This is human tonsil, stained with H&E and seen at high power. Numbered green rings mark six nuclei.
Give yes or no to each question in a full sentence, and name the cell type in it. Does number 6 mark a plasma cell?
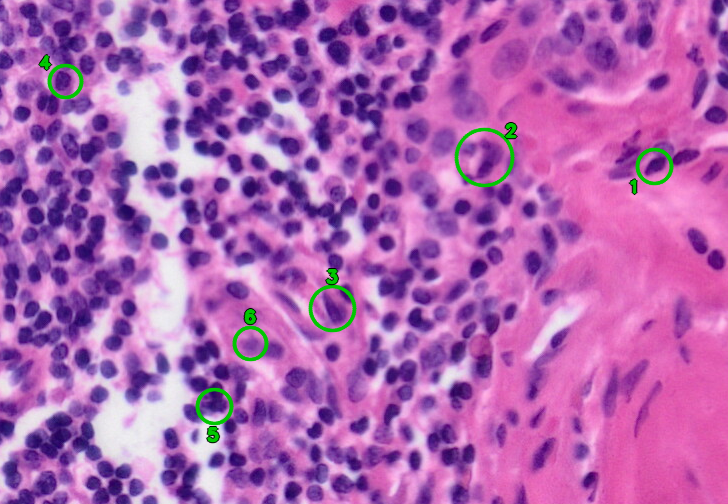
No, number 6 is assigned to an endothelial cell, not to a plasma cell.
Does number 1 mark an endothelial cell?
No, it's not an endothelial cell at number 1; that cell is a mast cell.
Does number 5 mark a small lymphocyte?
Yes, in this section the cell with number 5 is a small lymphocyte.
